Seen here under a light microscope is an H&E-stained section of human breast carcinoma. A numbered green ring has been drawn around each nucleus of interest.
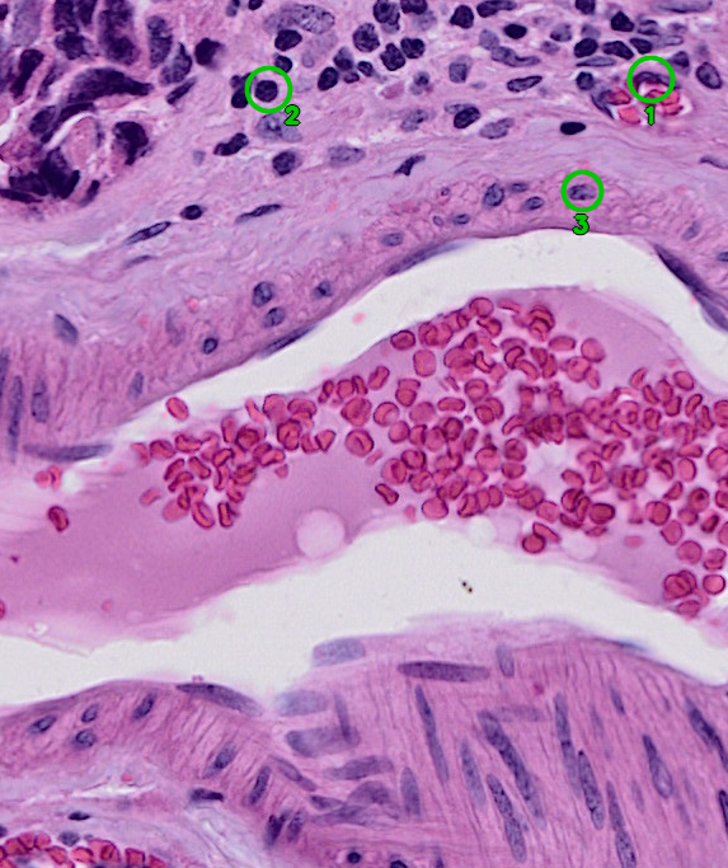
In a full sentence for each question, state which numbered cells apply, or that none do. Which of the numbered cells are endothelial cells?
The cells given the numbers 1 and 3 are endothelial cells.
